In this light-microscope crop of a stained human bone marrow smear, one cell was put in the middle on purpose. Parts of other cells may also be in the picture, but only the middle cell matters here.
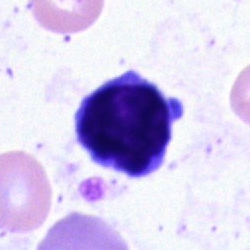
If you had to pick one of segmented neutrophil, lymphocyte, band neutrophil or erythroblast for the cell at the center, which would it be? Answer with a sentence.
Positioned in the middle of the crop is a lymphocyte.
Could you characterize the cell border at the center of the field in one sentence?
No smooth contour is present; the border is ragged or extended into projections.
